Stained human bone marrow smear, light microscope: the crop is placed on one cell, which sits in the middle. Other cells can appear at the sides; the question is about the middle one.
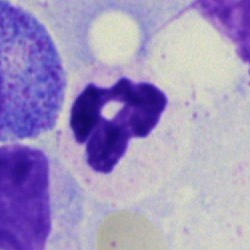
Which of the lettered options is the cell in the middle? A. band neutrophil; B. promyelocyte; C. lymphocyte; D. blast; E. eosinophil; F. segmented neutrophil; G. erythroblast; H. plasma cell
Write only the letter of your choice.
F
